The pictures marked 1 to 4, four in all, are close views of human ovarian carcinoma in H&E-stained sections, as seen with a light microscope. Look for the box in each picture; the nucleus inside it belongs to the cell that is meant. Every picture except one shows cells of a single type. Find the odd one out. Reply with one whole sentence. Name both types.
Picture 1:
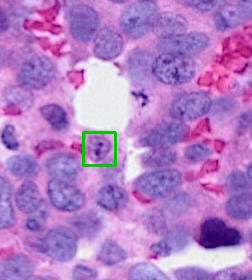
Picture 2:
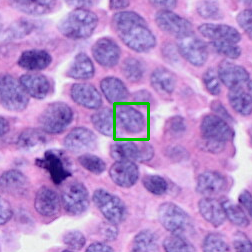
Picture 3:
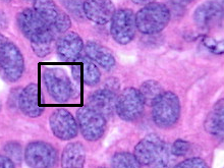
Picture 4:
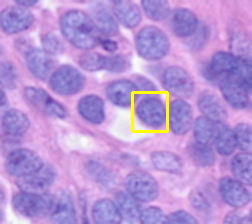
Unlike the rest, which show carcinoma cells, picture 1 shows a “macrophage or monocyte”.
